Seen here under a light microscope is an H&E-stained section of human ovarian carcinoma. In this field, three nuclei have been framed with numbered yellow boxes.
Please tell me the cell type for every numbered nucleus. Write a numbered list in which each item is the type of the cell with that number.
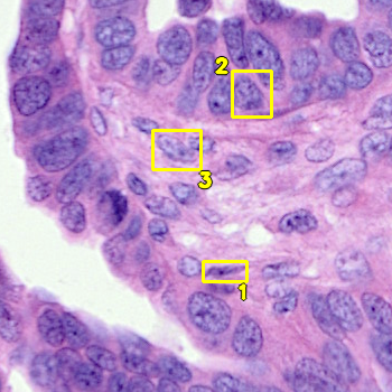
1. fibroblast
2. carcinoma cell
3. fibroblast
